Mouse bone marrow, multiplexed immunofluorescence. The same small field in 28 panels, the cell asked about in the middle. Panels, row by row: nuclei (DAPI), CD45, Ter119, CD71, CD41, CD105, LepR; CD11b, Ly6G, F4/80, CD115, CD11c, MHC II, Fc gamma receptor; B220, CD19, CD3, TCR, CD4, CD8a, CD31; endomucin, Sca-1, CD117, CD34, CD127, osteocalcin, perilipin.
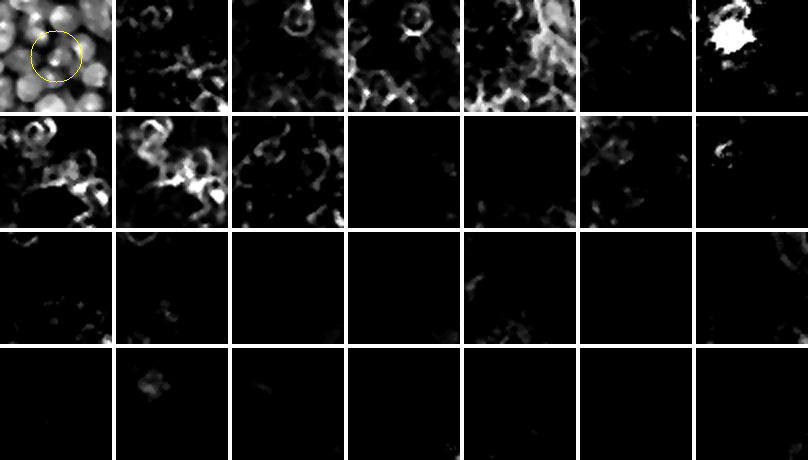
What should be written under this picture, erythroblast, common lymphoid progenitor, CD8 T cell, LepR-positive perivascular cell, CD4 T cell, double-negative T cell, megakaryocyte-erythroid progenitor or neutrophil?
neutrophil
